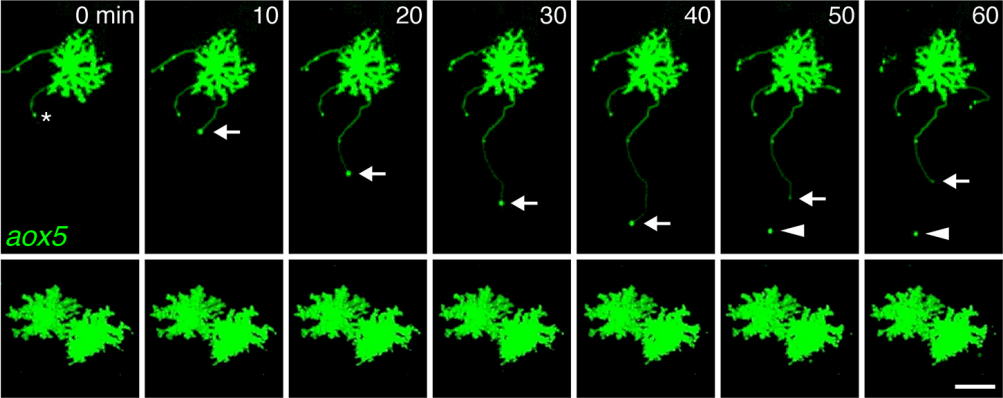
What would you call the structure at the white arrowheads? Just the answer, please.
Vesicle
